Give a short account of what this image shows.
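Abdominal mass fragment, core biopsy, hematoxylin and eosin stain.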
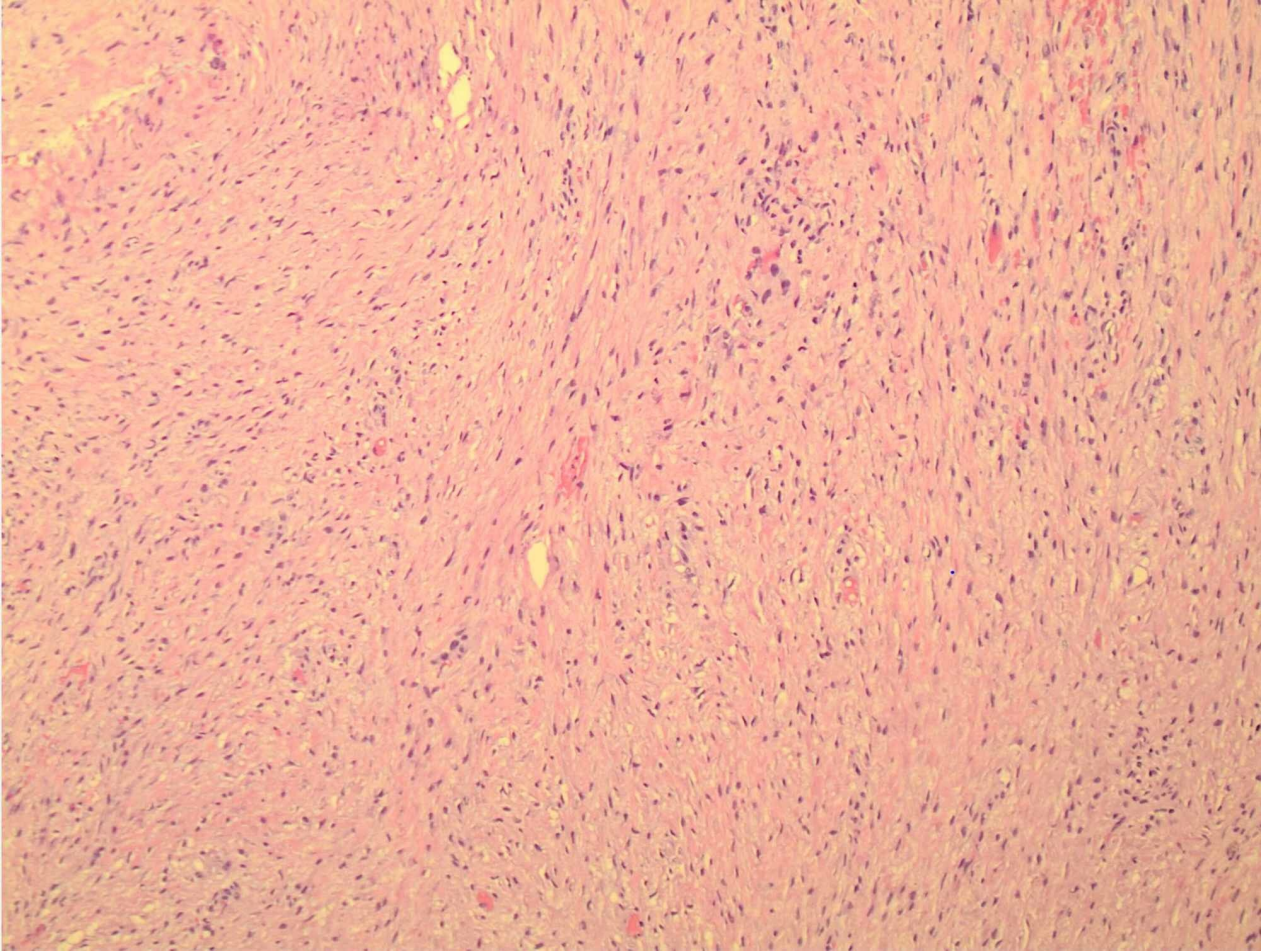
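This field shows spindle-shaped fibroblasts set in an abundant pink collagenous stroma. The cells are arranged in long, sweeping fascicles that run in different directions across the field. The cytoplasm is pale and merges with the surrounding eosinophilic collagen fibres. Small, thin-walled vessels containing red blood cells lie scattered between the cells.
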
